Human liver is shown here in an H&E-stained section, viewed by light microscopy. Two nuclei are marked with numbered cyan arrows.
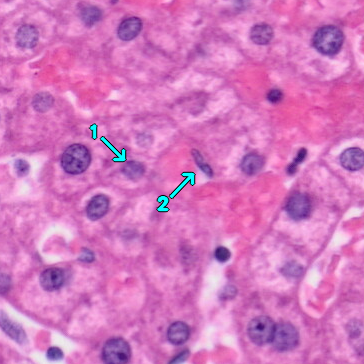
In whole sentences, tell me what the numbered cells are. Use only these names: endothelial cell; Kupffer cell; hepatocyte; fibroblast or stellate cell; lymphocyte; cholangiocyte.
Cell 1 is a hepatocyte and cell 2 is an endothelial cell.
